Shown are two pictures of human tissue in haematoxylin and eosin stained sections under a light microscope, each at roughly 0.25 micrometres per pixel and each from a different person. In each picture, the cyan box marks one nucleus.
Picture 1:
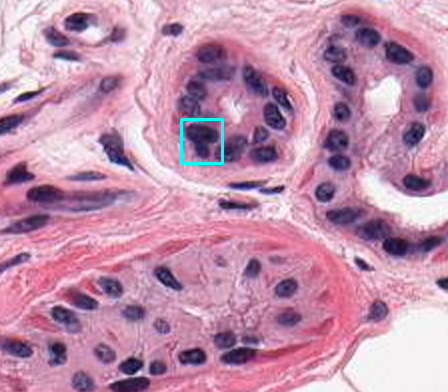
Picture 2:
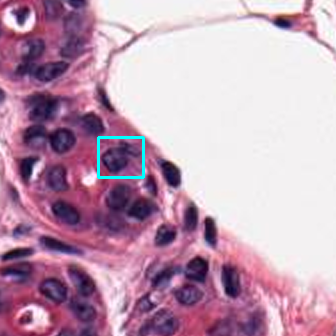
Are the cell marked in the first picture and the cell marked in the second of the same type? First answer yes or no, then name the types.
Yes, both are sweat gland cells.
